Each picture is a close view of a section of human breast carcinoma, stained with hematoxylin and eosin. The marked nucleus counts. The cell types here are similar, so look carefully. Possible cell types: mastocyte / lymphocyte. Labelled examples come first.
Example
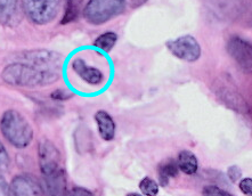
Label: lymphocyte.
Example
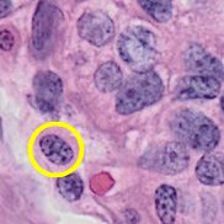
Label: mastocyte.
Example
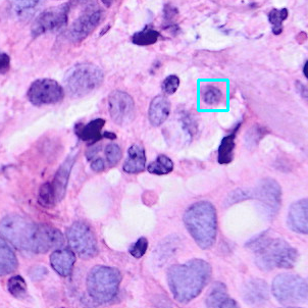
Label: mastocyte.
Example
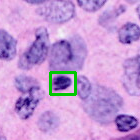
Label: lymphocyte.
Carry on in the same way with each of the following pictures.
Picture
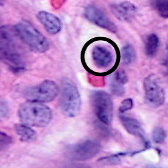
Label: mastocyte.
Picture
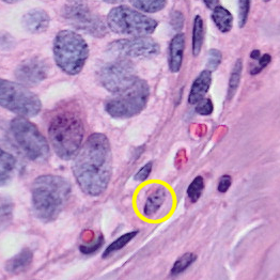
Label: mastocyte.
